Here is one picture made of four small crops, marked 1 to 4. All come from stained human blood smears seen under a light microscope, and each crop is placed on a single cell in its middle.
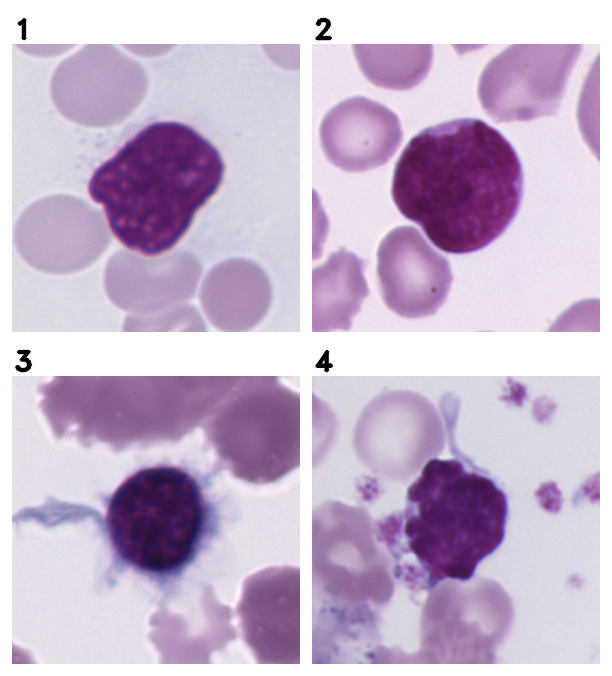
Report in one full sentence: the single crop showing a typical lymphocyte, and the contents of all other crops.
In crop 4, the cell at the centre is a typical lymphocyte, while crop 1 is a smudge cell, crop 2 is a myeloblast and crop 3 is a hairy cell.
